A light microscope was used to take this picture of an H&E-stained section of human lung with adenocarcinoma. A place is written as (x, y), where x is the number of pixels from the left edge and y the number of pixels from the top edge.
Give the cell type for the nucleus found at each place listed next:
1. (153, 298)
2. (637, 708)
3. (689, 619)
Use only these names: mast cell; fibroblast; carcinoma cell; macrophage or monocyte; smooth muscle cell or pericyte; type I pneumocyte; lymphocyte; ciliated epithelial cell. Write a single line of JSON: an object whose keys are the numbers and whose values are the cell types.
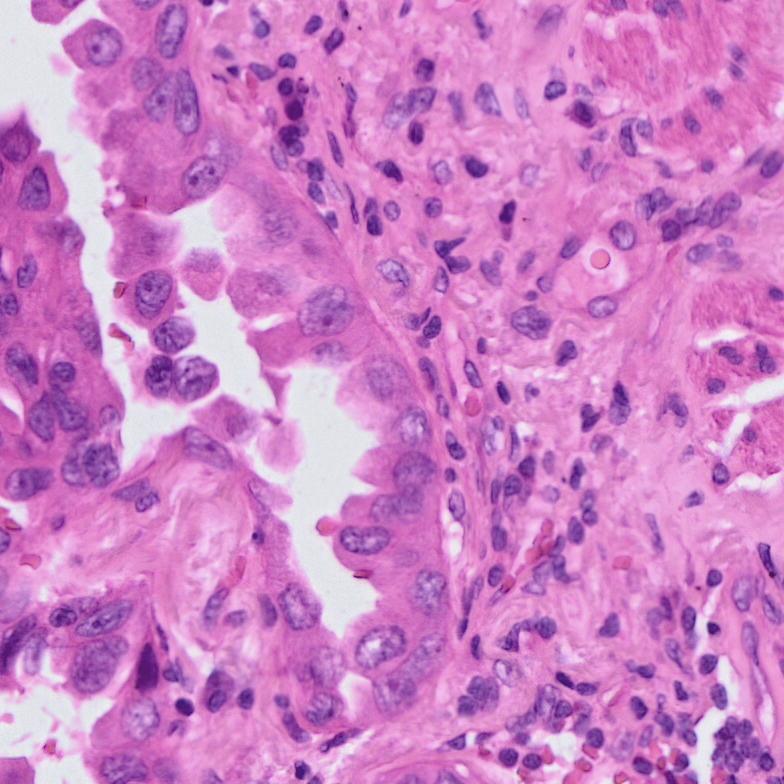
{"1": "carcinoma cell", "2": "lymphocyte", "3": "lymphocyte"}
